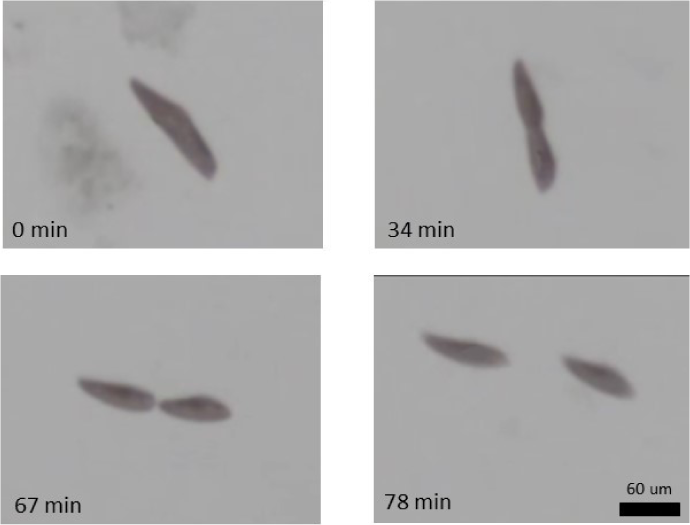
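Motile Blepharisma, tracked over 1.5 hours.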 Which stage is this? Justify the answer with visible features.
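The first frame shows one elongated single cell. A later frame shows two cells still joined end to end. The last frame shows two separate cells of similar size and shape.
Binary fission.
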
